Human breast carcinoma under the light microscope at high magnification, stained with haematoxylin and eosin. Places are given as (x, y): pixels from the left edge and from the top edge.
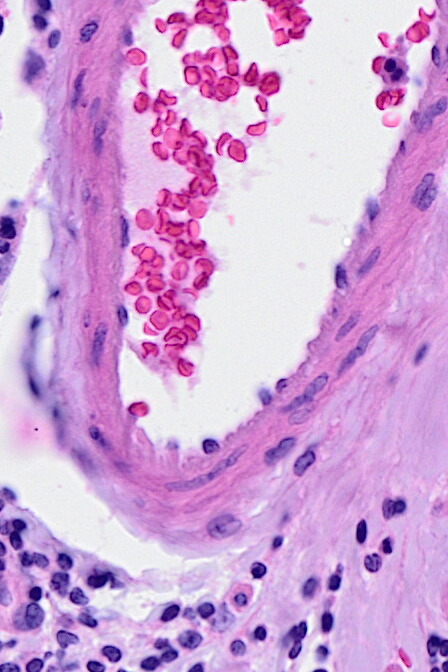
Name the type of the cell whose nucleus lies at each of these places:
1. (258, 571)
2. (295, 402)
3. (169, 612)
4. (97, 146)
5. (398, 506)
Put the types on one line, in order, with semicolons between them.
lymphocyte; endothelial cell; lymphocyte; endothelial cell; lymphocyte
